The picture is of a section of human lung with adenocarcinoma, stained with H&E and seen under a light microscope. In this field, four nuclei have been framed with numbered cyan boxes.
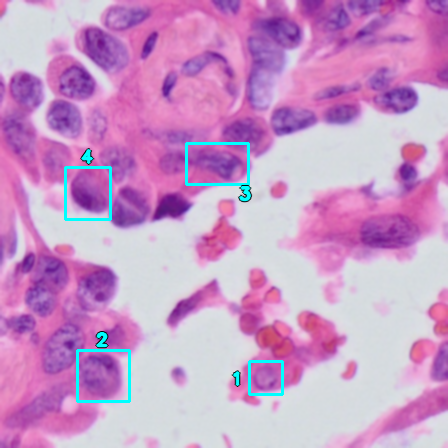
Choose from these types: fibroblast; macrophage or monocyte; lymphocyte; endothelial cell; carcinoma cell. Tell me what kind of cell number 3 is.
carcinoma cell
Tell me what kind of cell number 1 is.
macrophage or monocyte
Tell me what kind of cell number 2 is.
carcinoma cell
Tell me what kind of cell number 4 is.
carcinoma cell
